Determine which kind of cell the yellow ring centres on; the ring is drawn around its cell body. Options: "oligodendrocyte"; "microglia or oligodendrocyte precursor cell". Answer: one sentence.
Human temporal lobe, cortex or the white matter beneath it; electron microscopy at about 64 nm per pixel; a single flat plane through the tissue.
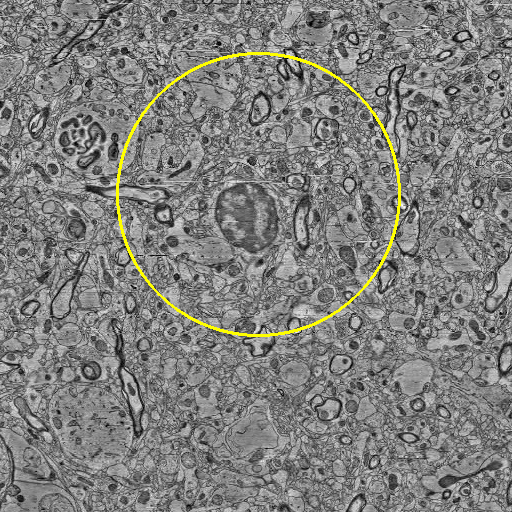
The ring centres on a microglial cell or oligodendrocyte precursor cell.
